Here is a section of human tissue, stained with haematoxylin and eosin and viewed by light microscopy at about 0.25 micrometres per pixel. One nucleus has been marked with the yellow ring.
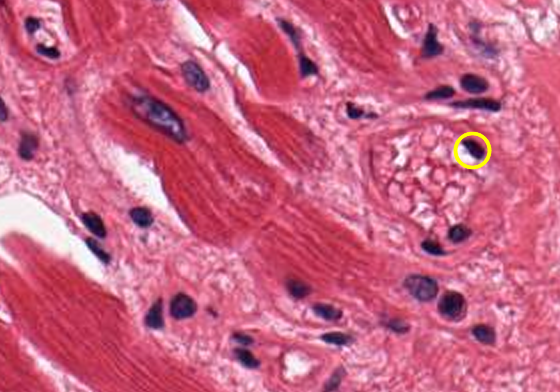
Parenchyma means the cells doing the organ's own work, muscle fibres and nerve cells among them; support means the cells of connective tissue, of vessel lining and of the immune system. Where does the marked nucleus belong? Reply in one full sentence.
It is a supporting cell that holds the marked nucleus.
